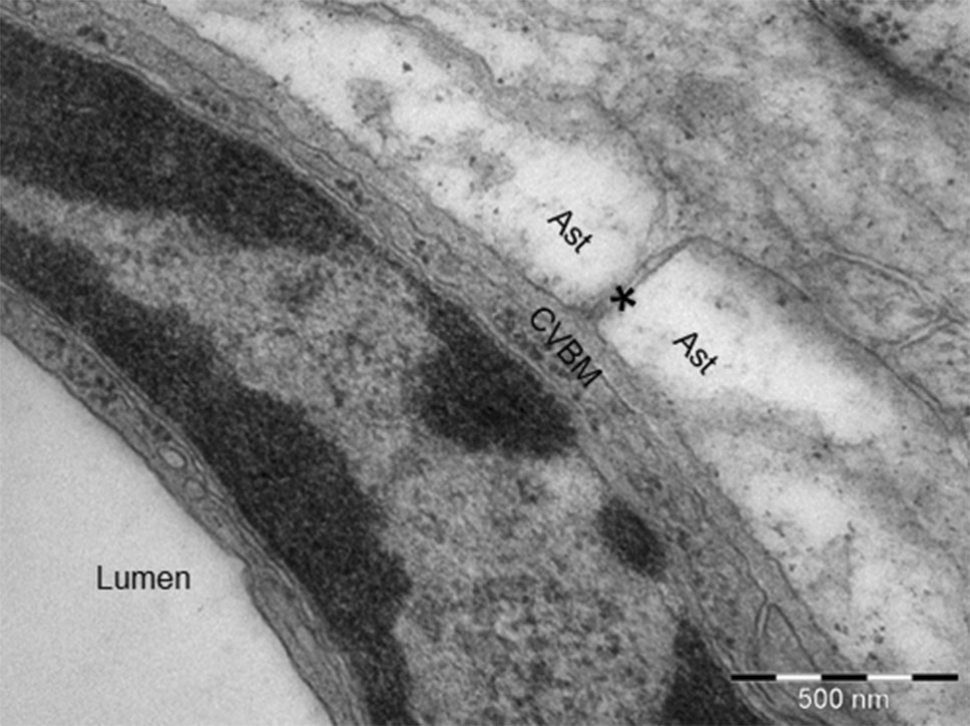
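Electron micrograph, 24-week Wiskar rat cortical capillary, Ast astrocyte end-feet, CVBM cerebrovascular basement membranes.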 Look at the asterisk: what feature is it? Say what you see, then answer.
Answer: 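The asterisk lies at a narrow cleft between two pale, membrane-bounded profiles. The cleft opens onto the thin grey band that lines the vessel wall. The answer: extracellular space.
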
